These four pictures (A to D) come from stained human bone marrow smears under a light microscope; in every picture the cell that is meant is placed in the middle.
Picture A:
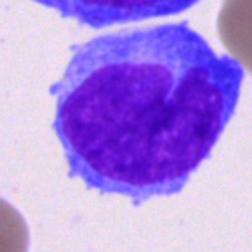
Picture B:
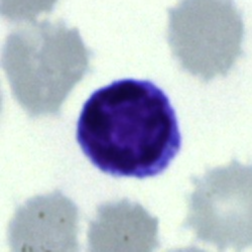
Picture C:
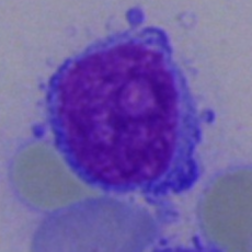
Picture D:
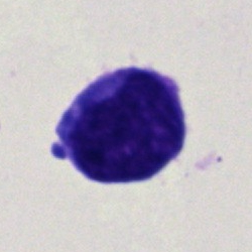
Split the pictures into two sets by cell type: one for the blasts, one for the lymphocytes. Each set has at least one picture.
A: blast
B: lymphocyte
C: lymphocyte
D: blast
